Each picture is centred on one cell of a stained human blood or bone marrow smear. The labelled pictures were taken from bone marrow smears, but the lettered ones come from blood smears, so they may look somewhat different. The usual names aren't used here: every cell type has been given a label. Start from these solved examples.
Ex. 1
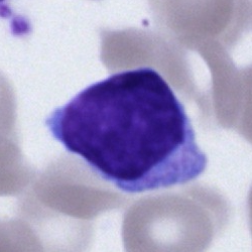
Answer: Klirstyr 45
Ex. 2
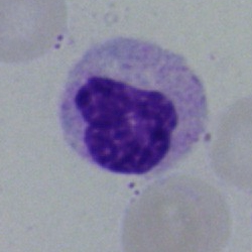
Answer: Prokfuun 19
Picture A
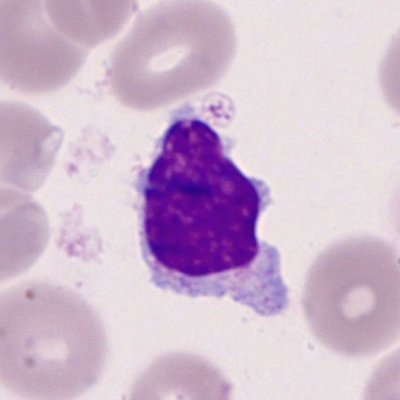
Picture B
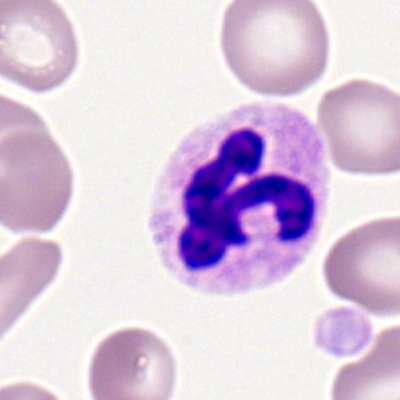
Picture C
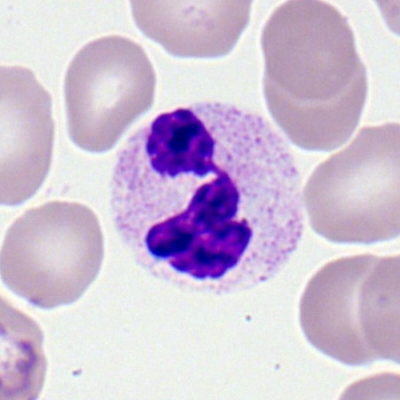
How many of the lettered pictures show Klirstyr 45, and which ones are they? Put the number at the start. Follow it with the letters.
Count: 1 (A)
